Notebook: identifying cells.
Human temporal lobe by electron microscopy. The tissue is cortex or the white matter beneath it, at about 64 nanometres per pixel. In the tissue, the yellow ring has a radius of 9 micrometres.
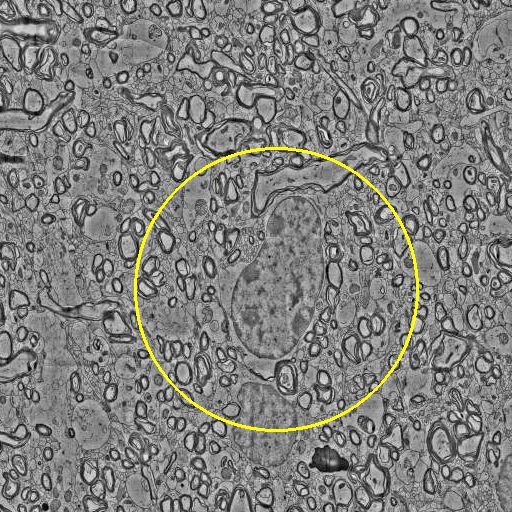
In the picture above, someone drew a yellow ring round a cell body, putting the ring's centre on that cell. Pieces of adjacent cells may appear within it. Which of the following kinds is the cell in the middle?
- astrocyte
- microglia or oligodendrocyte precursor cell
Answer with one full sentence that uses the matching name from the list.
In this picture, the yellow ring is centred on the body of a microglial cell or oligodendrocyte precursor cell.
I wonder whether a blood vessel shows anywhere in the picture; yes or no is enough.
No, a blood vessel is absent from this picture.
